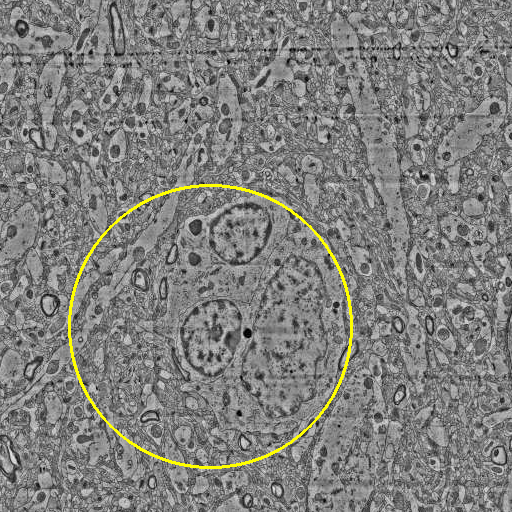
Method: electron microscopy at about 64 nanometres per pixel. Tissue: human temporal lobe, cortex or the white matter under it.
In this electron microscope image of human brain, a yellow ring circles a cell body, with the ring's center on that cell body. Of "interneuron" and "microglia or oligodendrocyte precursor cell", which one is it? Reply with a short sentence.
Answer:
It is a microglial cell or oligodendrocyte precursor cell at the center of the ring.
